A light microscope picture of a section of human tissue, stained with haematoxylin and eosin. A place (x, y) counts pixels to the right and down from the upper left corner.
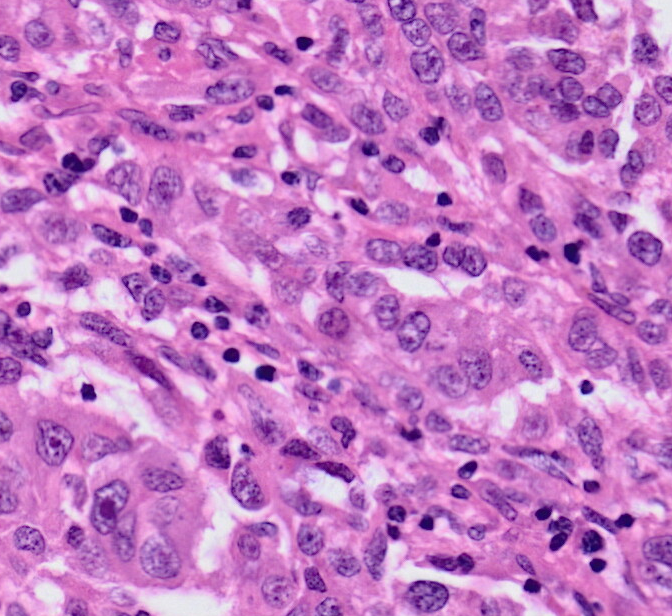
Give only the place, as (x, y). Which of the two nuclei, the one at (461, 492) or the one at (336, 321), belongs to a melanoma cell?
(336, 321)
